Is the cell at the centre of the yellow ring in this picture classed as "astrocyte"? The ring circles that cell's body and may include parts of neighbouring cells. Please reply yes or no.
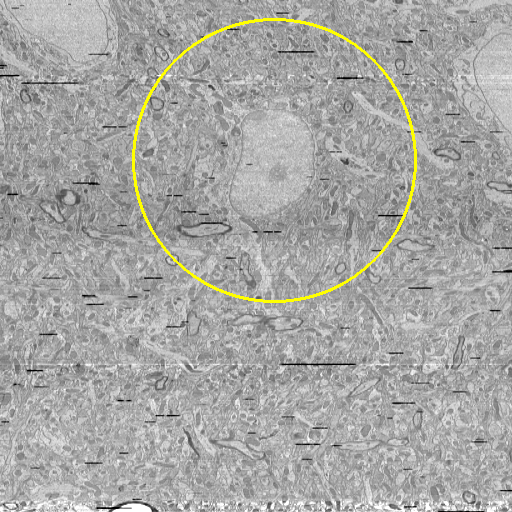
Yes, it is of that kind.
